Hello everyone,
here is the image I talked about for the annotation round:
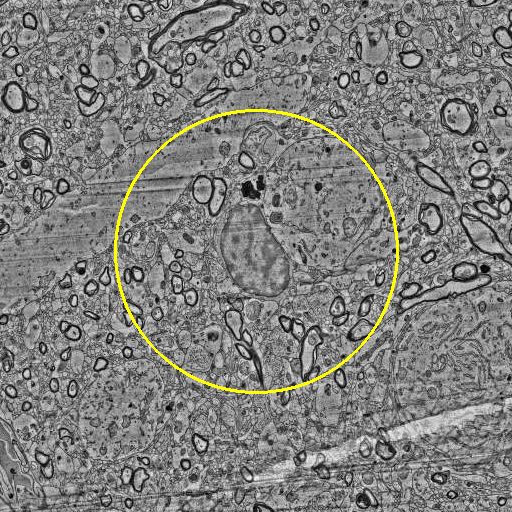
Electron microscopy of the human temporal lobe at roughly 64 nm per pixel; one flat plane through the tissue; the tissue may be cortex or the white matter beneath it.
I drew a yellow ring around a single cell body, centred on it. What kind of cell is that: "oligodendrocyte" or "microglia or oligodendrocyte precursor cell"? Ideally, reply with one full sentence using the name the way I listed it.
The cell your yellow ring is centred on is an oligodendrocyte, going by your list.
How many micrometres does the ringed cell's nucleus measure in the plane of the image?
The nucleus of the ringed cell is clearly longer than it is wide in this plane, about 6 by 4 micrometres.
